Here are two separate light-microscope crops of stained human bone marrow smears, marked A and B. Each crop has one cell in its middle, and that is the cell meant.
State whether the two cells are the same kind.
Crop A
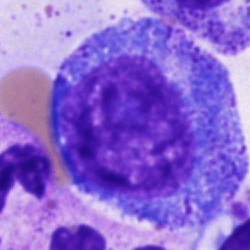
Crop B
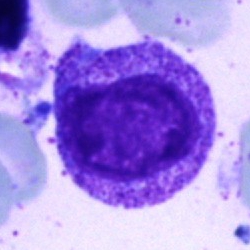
yes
